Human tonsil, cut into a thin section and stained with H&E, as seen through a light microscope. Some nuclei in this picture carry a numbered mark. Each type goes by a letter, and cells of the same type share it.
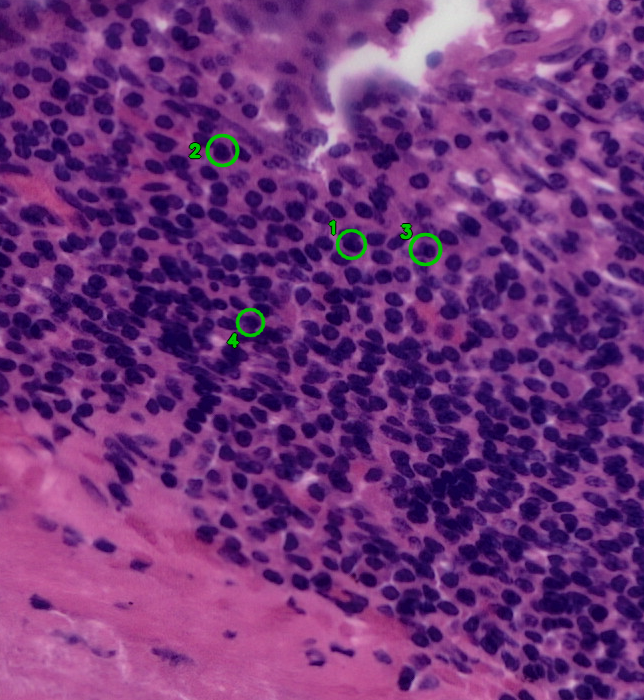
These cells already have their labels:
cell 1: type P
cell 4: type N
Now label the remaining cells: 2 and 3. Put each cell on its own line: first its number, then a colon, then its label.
2: type P
3: type P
